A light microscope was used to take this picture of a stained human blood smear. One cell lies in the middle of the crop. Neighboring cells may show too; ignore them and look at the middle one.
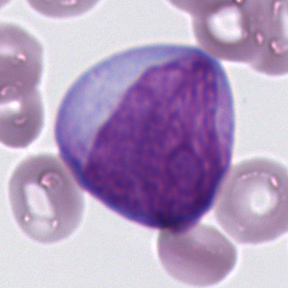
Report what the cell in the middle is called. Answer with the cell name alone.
atypical promyelocyte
